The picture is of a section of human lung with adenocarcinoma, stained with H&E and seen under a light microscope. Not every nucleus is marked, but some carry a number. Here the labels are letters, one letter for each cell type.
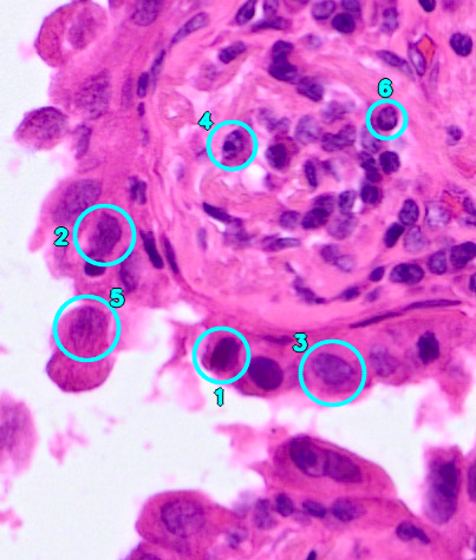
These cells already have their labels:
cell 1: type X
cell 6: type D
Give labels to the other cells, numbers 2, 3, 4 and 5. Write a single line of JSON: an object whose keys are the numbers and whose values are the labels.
{"2": "type X", "3": "type X", "4": "type D", "5": "type X"}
